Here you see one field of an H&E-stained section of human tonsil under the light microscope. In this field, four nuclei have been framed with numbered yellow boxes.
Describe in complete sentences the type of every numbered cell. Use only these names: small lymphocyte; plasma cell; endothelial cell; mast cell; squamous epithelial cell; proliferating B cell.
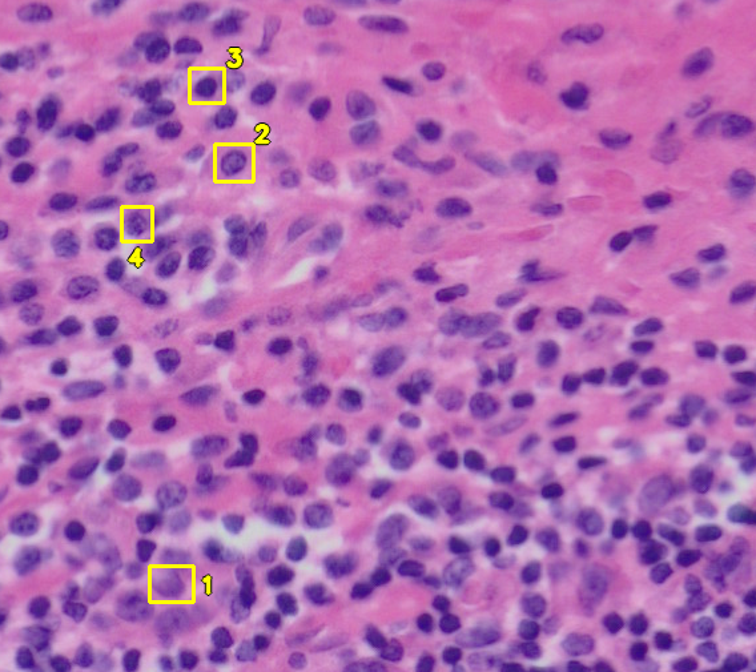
Cell 1 is an endothelial cell. Cells 2, 3 and 4 are plasma cells.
